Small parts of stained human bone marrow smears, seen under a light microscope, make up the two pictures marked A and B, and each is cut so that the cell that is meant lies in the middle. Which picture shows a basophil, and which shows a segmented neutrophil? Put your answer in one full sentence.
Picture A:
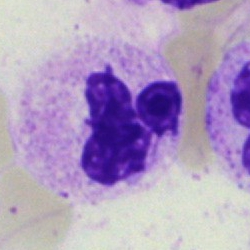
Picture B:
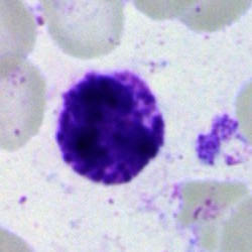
The cell in picture A is a segmented neutrophil, and the one in picture B is a basophil.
